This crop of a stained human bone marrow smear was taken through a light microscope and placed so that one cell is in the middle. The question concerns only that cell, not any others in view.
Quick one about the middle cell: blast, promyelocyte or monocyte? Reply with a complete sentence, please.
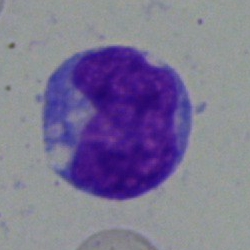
Here the centrally located cell is a blast.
